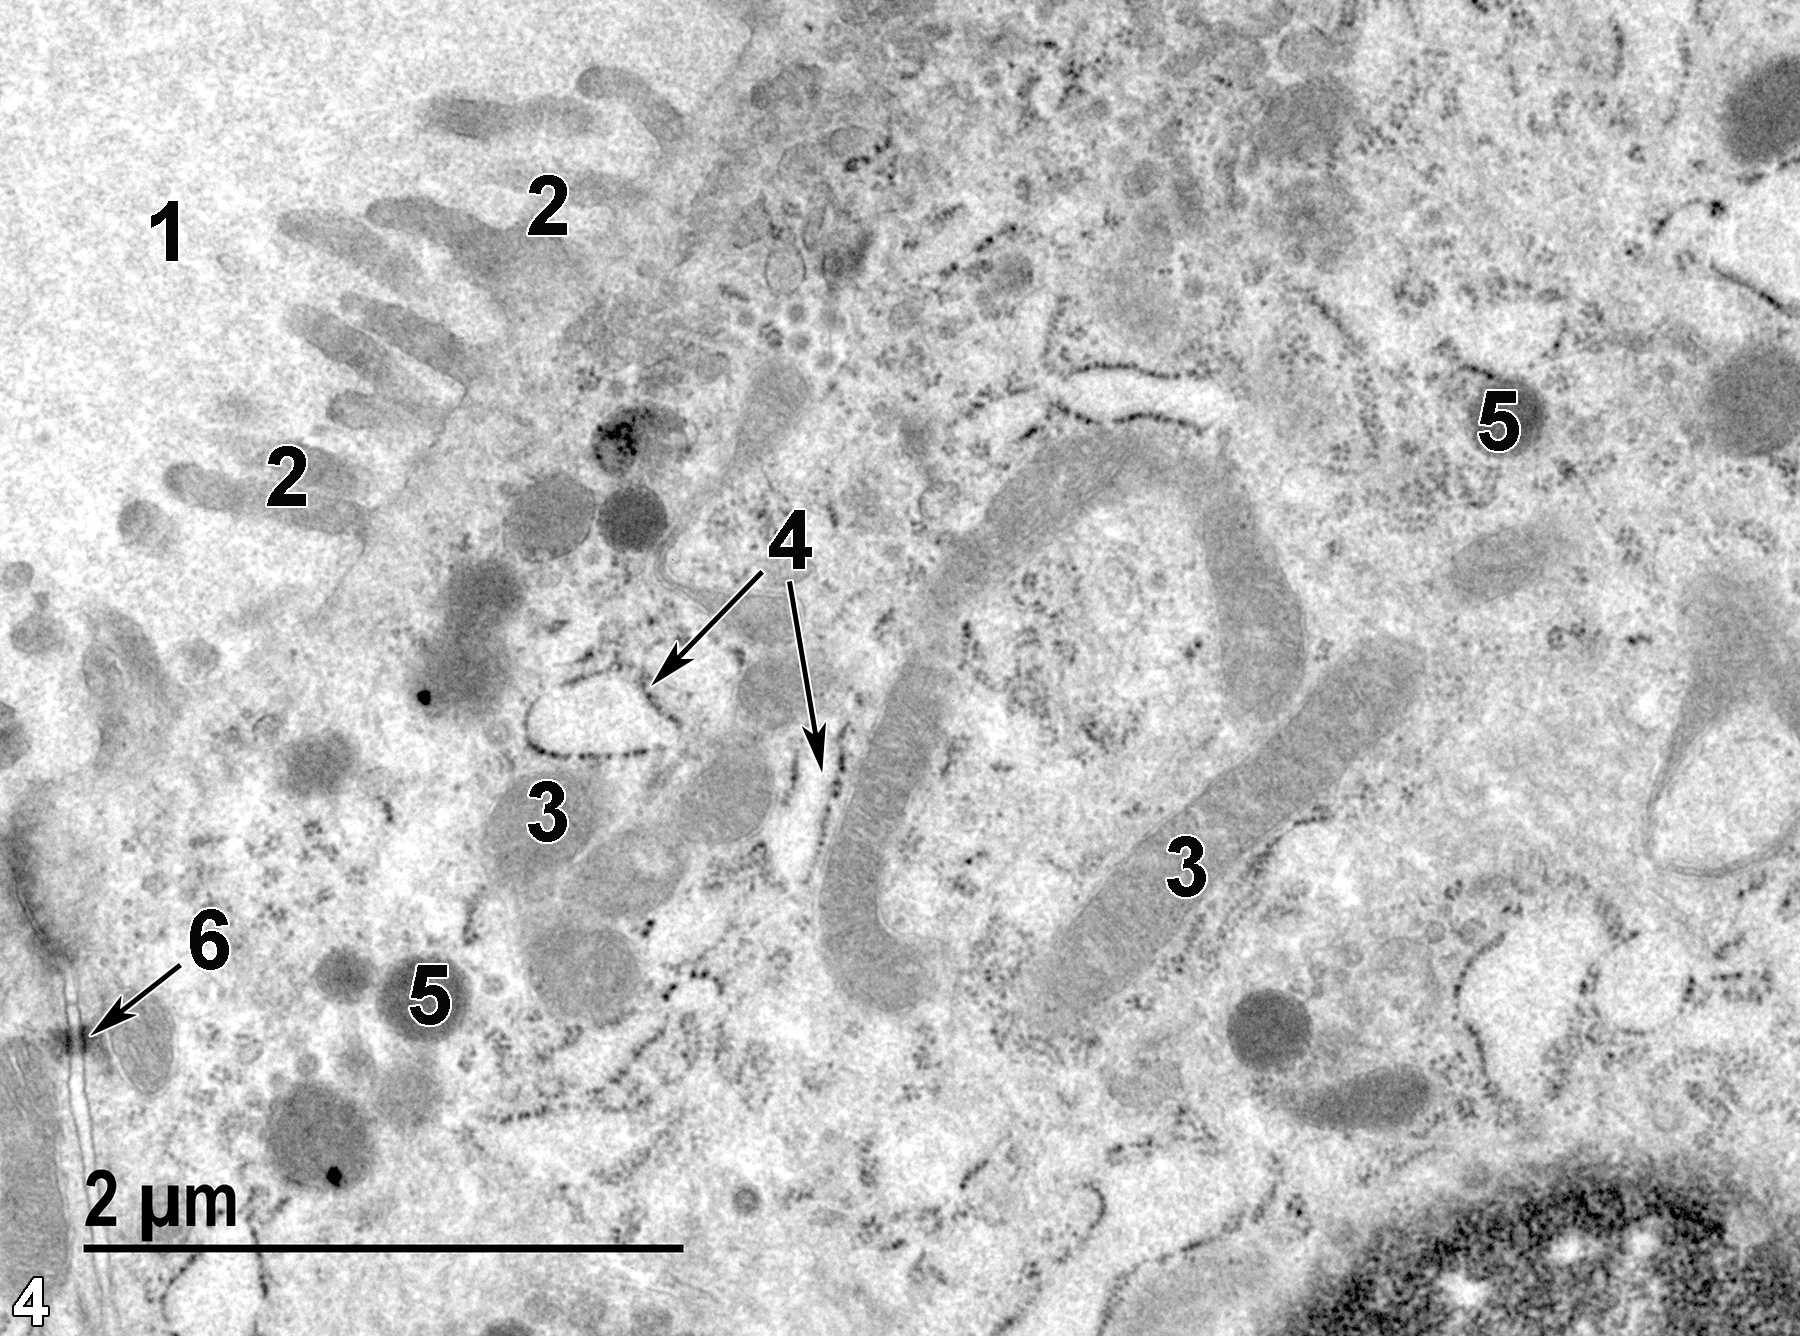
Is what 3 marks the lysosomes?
No, 3 marks the elongated mitochondria.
